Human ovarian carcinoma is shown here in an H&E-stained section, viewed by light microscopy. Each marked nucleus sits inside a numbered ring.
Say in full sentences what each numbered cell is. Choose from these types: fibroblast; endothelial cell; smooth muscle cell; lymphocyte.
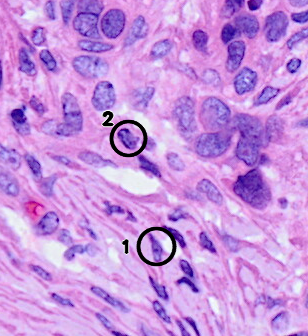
Cell 1 is a fibroblast. Cell 2 is a lymphocyte.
